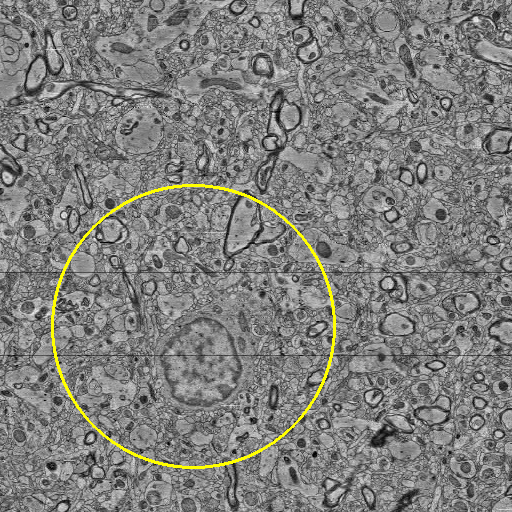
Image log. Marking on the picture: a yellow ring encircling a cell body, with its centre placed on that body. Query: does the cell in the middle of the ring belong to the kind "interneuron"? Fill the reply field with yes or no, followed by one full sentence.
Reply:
No, the cell at the centre of the yellow ring in this picture belongs to a different kind.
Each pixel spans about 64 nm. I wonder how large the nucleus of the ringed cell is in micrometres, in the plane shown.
About 6 by 5 micrometres in this plane.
